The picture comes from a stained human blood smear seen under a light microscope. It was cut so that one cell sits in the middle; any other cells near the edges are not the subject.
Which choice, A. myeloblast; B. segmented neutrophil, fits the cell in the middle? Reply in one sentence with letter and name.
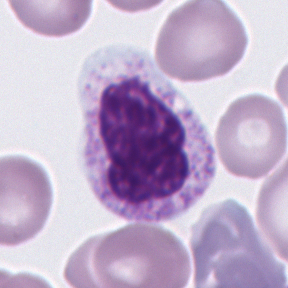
The cell at the centre, correctly named in option B, is a segmented neutrophil.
